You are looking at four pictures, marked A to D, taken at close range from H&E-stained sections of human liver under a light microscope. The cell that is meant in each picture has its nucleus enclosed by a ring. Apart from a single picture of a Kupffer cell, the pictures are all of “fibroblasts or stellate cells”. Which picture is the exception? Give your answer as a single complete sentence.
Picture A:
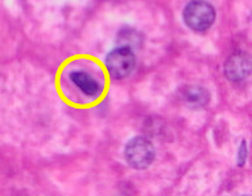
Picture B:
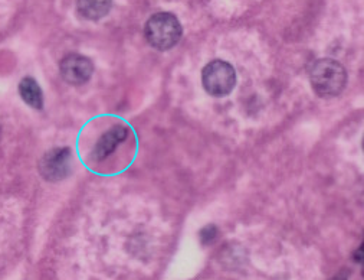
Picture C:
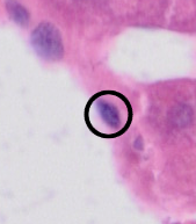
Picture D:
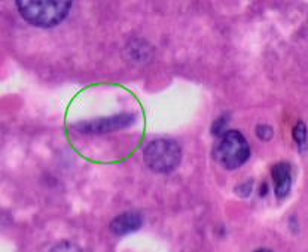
It is picture D that shows the Kupffer cell.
